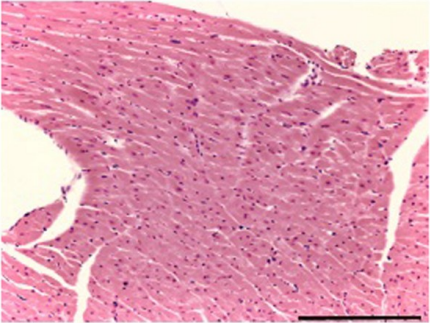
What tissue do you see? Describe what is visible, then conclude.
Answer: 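Pink elongated muscle fibres run in parallel bundles. No lumen-lining glandular or layered epithelium is present.
Hence: myocardium.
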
